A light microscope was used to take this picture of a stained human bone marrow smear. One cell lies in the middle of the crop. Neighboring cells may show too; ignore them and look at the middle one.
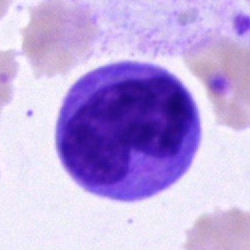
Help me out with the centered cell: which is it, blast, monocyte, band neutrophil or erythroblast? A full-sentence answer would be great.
Classified as a monocyte is the cell in the middle of this crop.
